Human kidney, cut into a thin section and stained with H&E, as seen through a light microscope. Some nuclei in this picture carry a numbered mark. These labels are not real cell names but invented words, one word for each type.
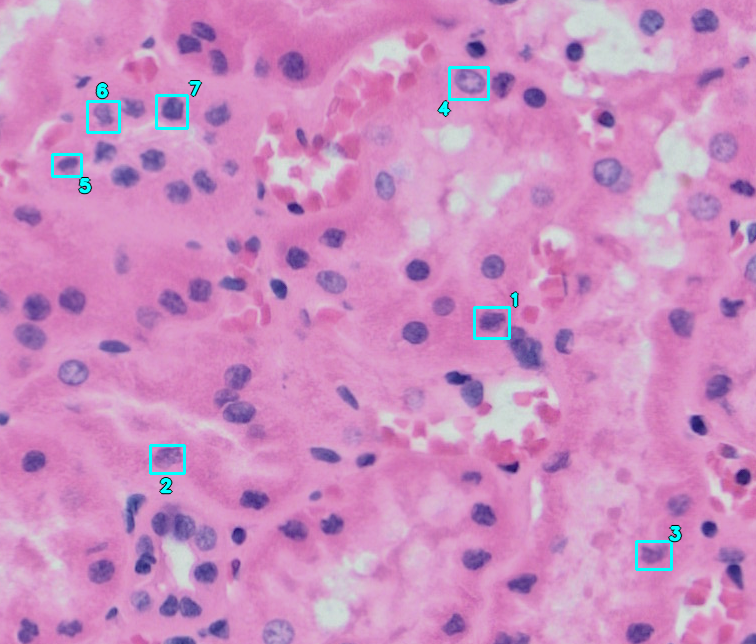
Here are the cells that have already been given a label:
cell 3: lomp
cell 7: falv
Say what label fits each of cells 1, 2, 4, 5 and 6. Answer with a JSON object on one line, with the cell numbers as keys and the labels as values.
{"1": "lomp", "2": "lomp", "4": "lomp", "5": "falv", "6": "falv"}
